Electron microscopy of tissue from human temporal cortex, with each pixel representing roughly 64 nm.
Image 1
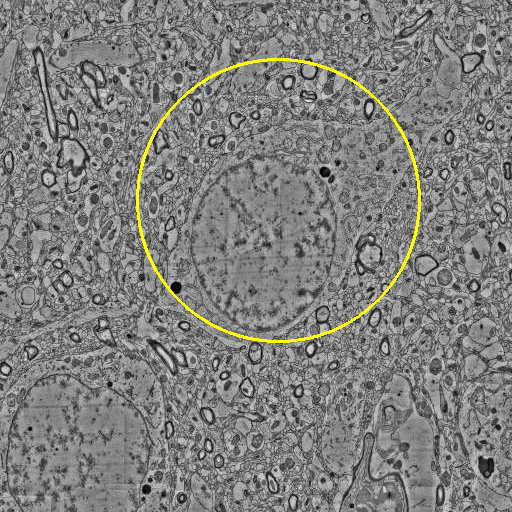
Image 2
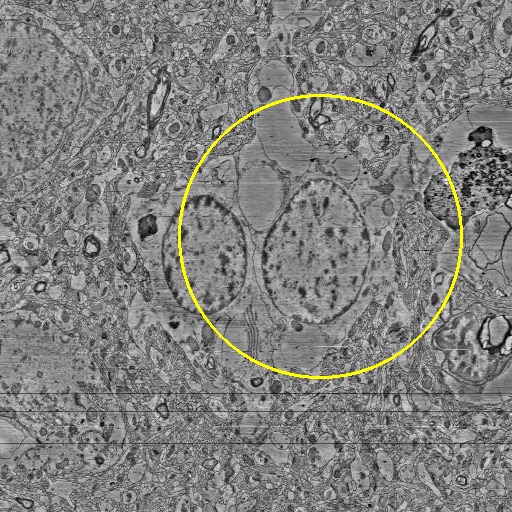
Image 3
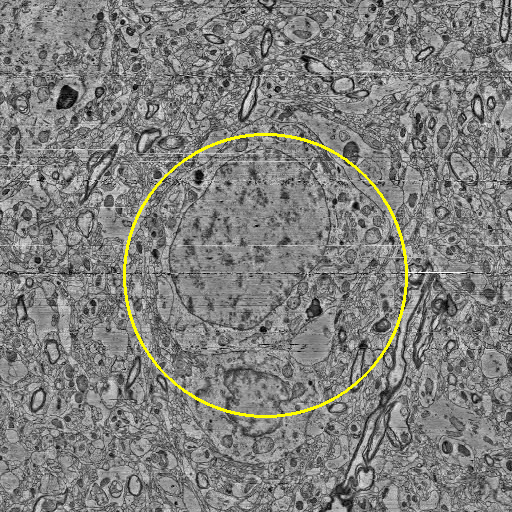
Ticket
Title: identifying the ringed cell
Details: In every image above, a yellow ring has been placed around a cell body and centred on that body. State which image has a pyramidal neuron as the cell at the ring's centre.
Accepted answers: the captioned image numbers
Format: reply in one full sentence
The ring in image 3 is centred on the cell in question.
